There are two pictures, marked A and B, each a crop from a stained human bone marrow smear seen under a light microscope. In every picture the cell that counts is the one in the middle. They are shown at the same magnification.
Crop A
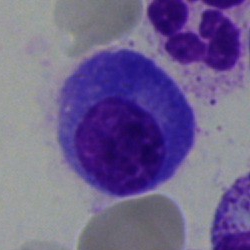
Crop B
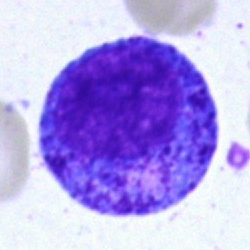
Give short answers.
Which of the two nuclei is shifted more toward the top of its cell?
B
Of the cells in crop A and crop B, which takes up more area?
B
